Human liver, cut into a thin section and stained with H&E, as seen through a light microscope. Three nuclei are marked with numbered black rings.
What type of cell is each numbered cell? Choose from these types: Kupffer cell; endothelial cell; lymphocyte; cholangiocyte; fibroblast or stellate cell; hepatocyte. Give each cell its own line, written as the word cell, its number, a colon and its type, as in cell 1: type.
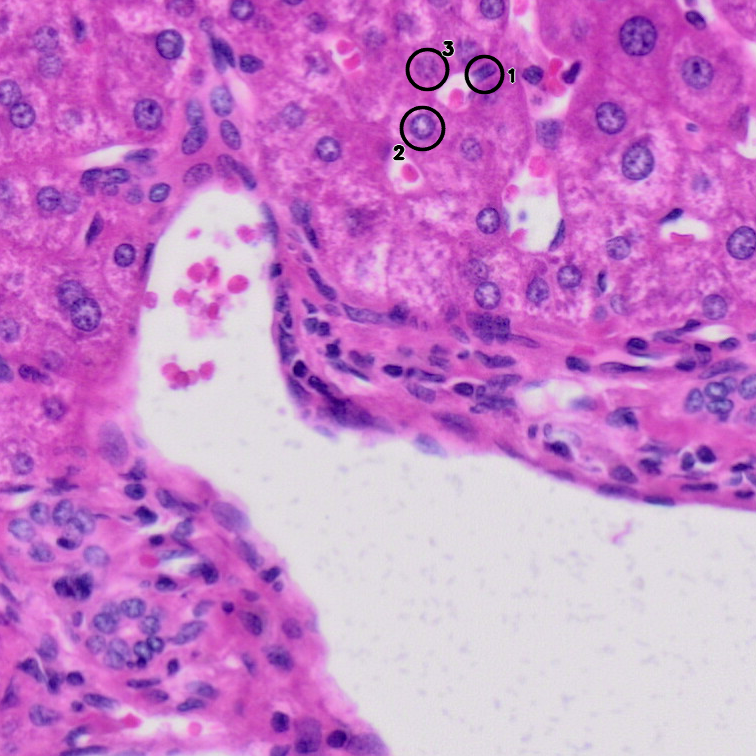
cell 1: fibroblast or stellate cell
cell 2: hepatocyte
cell 3: hepatocyte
